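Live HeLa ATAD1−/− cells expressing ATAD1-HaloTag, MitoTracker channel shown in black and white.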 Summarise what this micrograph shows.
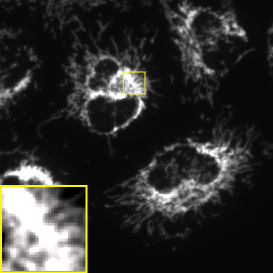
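The network is densest in a ring around dark, unstained areas where the nuclei lie, and thin tubules extend toward the cell edges. The enlarged inset shows a densely packed region of the network.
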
